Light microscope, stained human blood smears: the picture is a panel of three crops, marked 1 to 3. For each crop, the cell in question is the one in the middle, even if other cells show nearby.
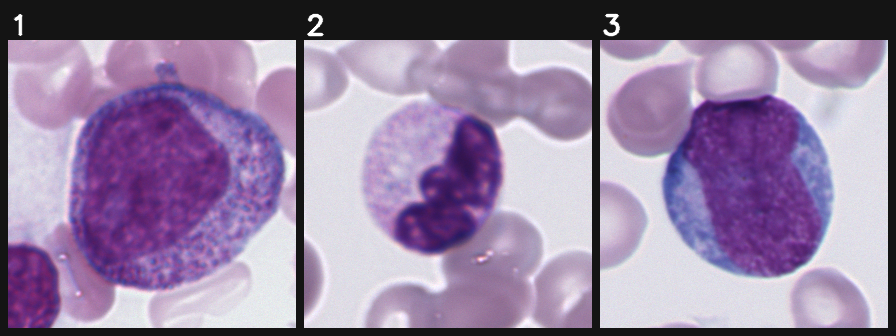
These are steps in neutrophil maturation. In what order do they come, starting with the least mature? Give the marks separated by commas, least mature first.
3, 1, 2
